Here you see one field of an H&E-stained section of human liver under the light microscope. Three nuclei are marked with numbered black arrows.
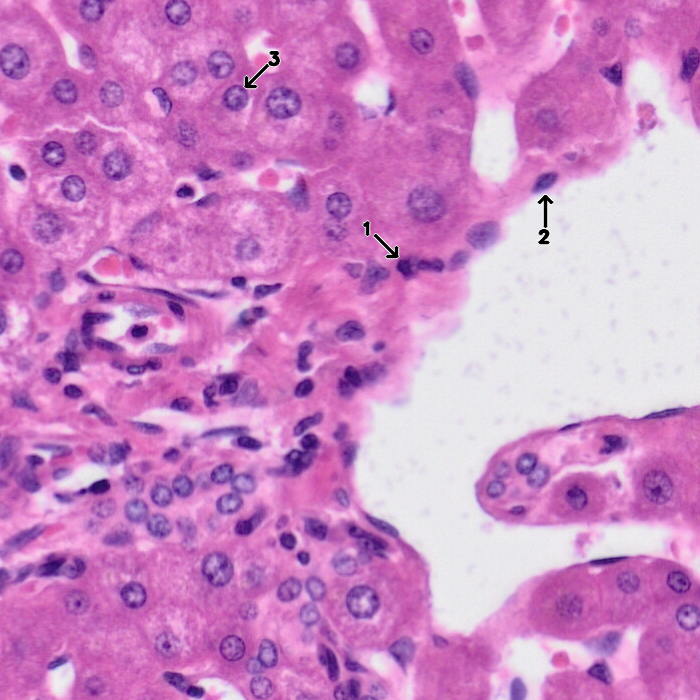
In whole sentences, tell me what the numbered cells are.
Cell 1 is a fibroblast or stellate cell, cell 2 is a fibroblast or stellate cell and cell 3 is a hepatocyte.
